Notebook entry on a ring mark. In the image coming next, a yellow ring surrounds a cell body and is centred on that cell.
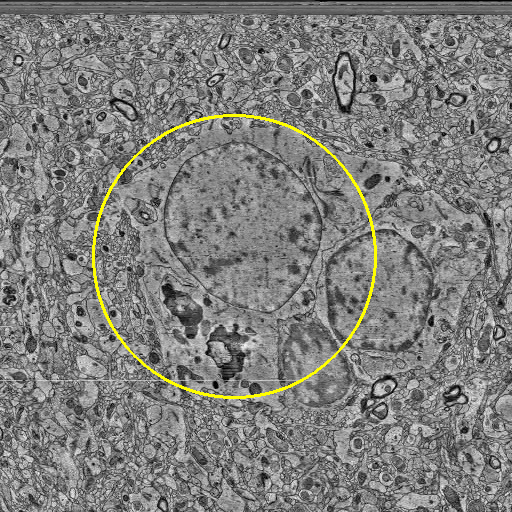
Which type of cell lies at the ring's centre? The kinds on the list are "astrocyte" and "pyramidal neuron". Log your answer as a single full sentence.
Centred in the yellow ring is an astrocyte, the cell recorded for this image.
